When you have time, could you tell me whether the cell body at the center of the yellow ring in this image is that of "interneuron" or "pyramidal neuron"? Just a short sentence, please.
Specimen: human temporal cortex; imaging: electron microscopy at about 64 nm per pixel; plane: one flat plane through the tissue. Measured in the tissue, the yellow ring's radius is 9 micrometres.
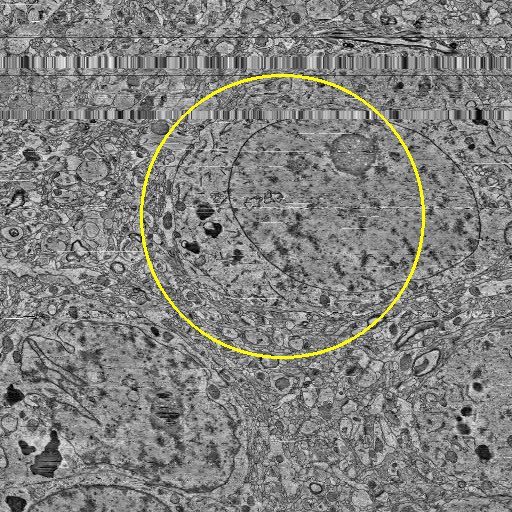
The cell body at the center of the ring is that of a pyramidal neuron.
